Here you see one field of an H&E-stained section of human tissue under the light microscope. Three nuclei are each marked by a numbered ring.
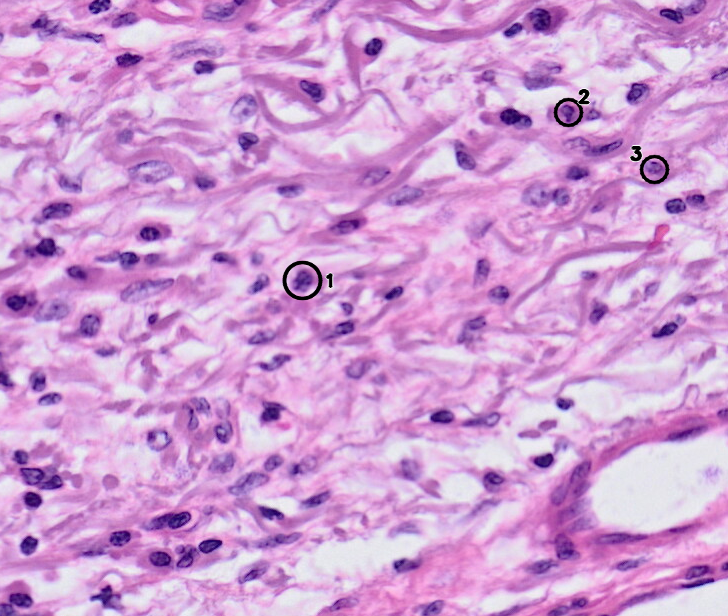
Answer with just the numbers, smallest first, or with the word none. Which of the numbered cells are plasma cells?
1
